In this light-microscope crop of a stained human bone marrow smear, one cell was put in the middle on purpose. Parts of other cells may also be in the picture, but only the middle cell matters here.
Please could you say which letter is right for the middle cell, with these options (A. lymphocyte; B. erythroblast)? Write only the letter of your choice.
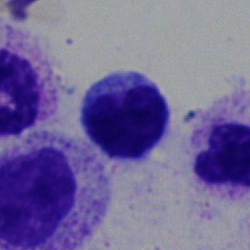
A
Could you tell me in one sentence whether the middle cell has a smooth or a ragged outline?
Smooth outline, no projections: that is the whole story of its edge.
